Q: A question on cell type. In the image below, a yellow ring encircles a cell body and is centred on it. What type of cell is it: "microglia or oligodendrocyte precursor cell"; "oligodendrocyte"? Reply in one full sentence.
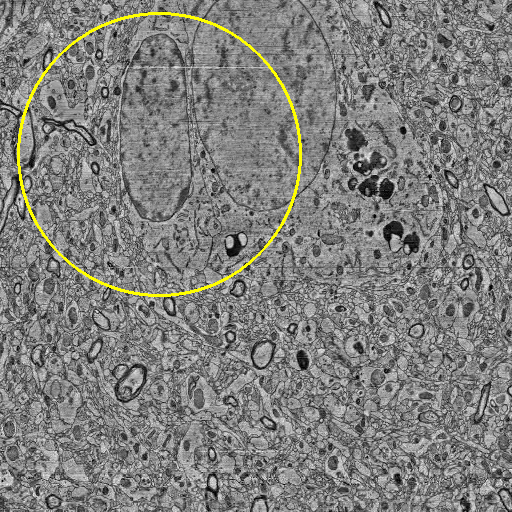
It is a microglial cell or oligodendrocyte precursor cell whose cell body sits at the centre of the yellow ring in the image.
